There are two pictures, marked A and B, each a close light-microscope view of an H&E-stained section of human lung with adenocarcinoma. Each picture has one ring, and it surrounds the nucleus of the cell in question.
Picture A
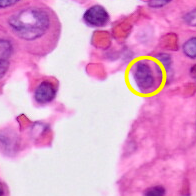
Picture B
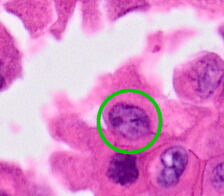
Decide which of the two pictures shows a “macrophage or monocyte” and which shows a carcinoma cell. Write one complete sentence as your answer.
Picture B shows a carcinoma cell, while picture A shows a “macrophage or monocyte”.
